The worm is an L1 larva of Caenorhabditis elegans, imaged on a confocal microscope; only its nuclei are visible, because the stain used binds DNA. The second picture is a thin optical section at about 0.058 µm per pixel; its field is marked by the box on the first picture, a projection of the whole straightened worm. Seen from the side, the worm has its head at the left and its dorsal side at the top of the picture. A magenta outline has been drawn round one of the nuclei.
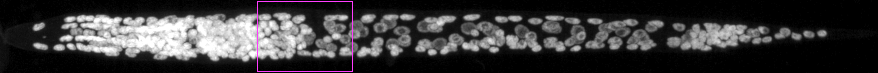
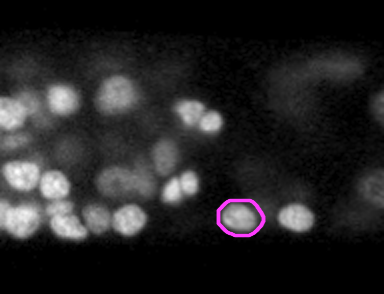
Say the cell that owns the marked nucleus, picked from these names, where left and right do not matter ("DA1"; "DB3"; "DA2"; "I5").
DB3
